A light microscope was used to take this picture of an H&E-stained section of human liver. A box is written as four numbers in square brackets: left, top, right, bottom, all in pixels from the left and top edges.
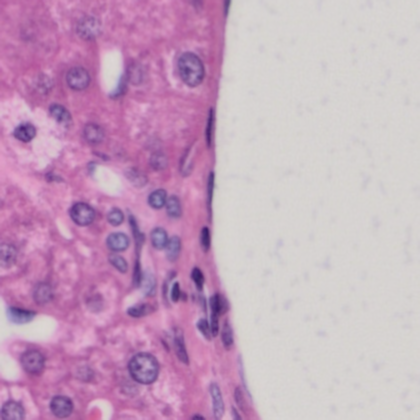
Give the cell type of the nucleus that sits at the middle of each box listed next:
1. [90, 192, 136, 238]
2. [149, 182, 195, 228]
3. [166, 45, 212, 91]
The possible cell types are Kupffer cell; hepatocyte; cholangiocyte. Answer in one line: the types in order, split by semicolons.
cholangiocyte; cholangiocyte; hepatocyte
